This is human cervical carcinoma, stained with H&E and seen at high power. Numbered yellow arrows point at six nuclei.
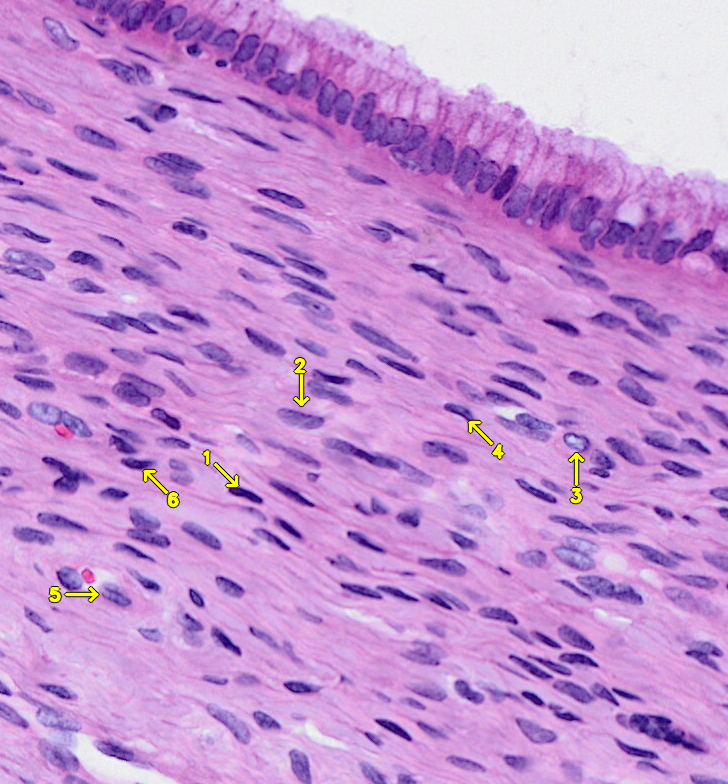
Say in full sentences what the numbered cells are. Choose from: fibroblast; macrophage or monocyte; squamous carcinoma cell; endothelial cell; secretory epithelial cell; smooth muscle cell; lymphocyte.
Cells 1, 2, 4 and 6 are fibroblasts. Cells 3 and 5 are endothelial cells.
